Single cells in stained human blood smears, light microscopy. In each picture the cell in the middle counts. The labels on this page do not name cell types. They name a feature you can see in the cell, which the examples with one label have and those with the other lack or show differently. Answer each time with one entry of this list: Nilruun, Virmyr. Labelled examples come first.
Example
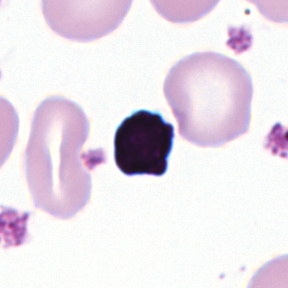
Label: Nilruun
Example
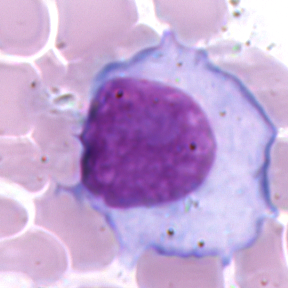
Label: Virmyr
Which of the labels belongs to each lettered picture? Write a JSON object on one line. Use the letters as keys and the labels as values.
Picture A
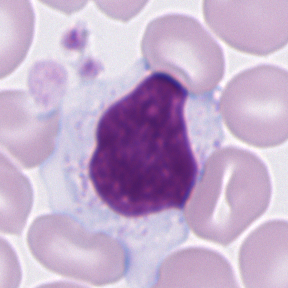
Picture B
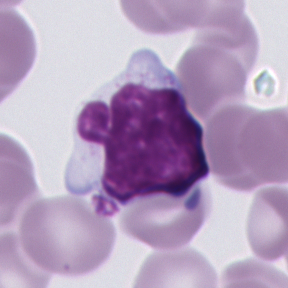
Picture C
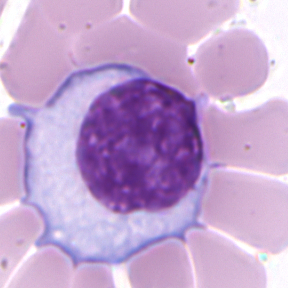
{"A": "Virmyr", "B": "Nilruun", "C": "Virmyr"}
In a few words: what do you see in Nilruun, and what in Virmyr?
Nilruun, scant cytoplasm; Virmyr, abundant cytoplasm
